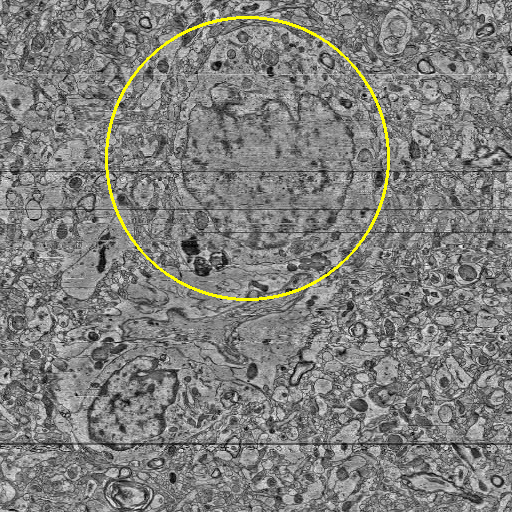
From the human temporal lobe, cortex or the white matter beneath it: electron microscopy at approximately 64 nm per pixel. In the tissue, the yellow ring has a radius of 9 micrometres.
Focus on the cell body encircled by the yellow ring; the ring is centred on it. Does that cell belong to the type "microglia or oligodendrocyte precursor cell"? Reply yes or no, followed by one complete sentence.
No, the cell lying at the centre of the ring in the picture is another type.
